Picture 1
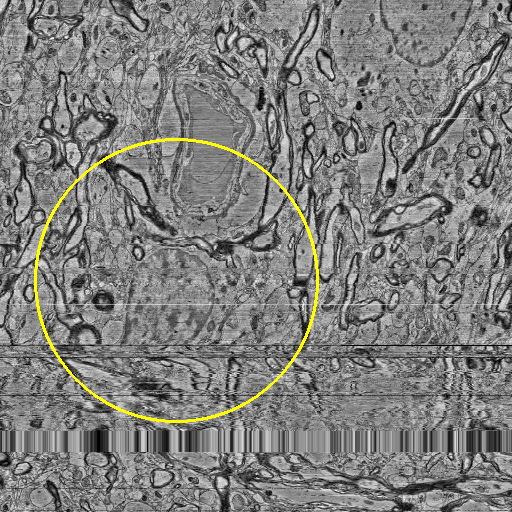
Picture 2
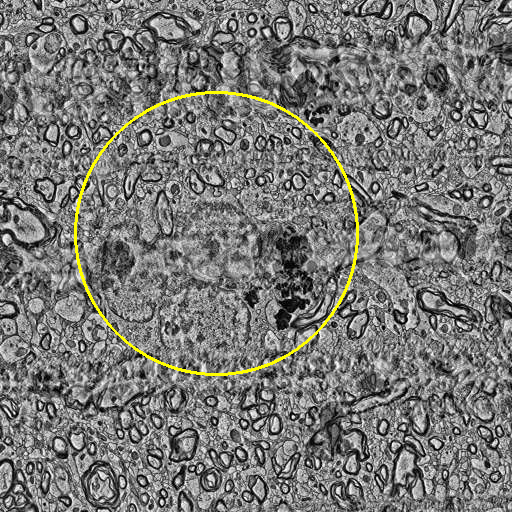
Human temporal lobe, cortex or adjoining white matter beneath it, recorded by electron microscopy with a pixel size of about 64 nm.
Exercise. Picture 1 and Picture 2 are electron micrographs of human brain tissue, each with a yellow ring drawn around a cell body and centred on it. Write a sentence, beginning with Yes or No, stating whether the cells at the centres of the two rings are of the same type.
Yes, the cells at the centres of both rings are of the same type.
